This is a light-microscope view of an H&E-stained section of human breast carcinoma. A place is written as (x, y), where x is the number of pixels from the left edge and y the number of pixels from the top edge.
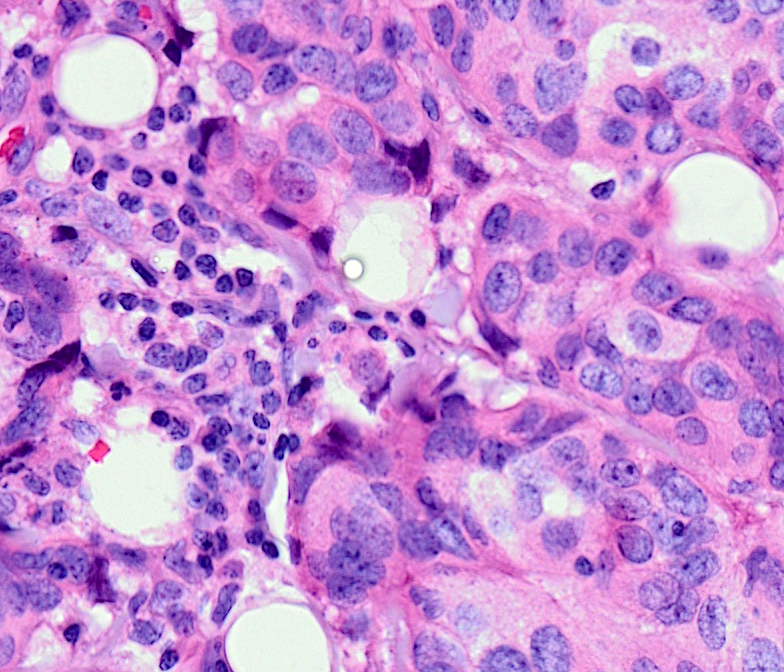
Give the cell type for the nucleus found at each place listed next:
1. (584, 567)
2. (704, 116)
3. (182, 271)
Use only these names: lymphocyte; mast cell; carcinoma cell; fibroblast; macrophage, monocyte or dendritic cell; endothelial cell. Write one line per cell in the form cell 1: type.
cell 1: lymphocyte
cell 2: carcinoma cell
cell 3: lymphocyte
